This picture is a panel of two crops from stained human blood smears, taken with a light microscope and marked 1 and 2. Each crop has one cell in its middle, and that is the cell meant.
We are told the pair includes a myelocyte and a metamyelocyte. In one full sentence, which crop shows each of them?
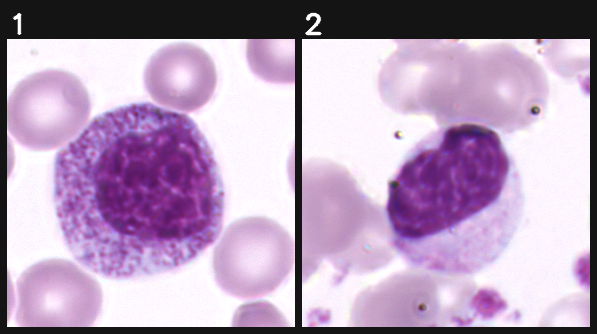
In this set, crop 1 shows a myelocyte and crop 2 shows a metamyelocyte.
